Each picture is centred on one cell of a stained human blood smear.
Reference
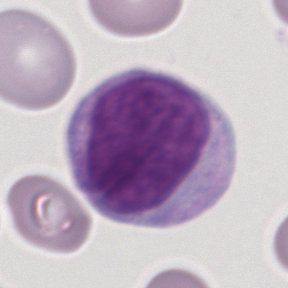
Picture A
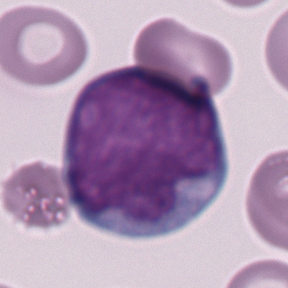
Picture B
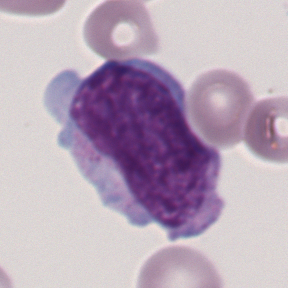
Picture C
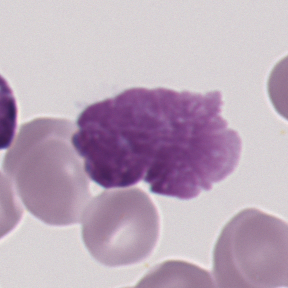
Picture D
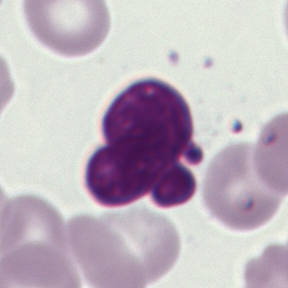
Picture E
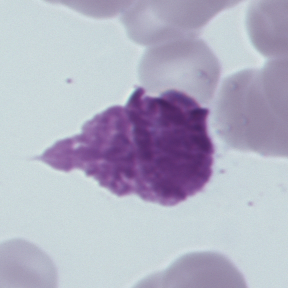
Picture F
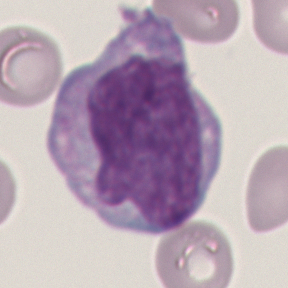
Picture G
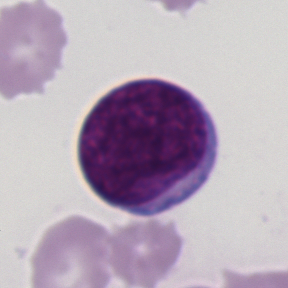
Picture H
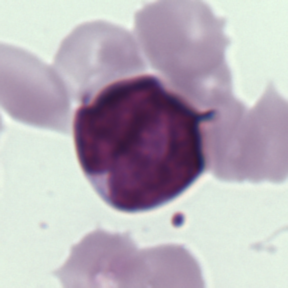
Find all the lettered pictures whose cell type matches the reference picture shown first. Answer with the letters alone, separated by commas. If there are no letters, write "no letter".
B, F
